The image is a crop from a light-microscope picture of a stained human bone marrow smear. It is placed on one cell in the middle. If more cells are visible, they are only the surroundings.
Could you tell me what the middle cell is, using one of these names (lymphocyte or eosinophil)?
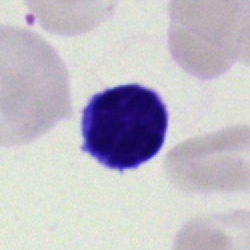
lymphocyte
